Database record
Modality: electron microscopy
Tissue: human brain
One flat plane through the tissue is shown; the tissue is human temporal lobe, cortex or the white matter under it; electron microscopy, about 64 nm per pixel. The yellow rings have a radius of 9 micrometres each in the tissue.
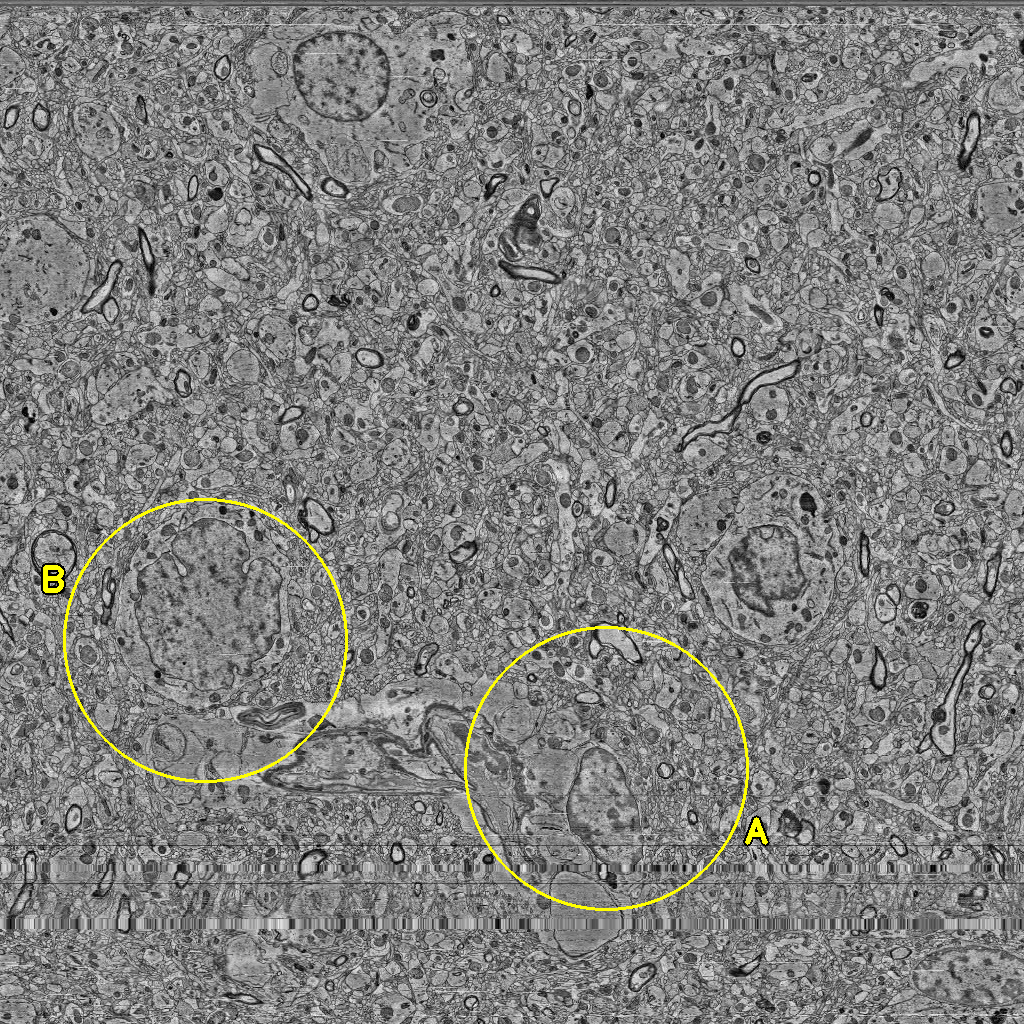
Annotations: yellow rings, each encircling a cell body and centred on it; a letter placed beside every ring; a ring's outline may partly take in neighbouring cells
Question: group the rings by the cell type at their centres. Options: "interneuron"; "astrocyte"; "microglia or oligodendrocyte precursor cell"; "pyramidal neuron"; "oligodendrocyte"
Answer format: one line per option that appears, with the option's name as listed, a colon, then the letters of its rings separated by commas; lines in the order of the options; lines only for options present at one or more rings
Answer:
interneuron: B
microglia or oligodendrocyte precursor cell: A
